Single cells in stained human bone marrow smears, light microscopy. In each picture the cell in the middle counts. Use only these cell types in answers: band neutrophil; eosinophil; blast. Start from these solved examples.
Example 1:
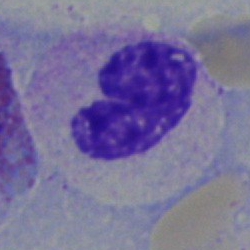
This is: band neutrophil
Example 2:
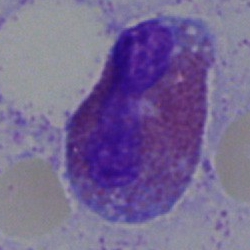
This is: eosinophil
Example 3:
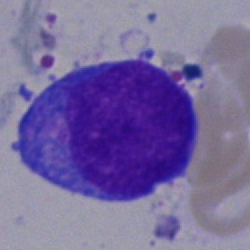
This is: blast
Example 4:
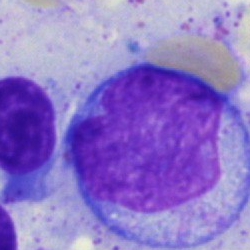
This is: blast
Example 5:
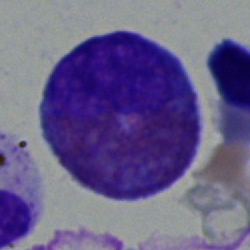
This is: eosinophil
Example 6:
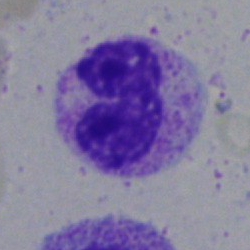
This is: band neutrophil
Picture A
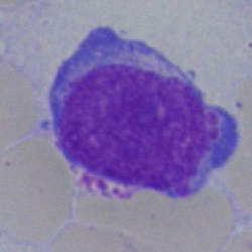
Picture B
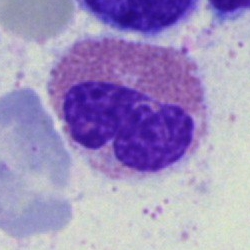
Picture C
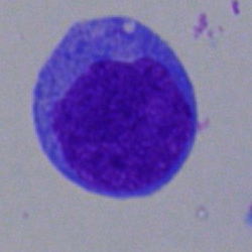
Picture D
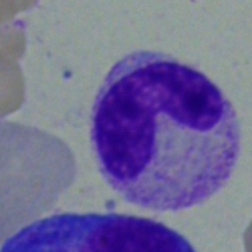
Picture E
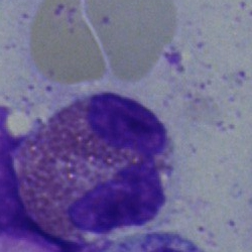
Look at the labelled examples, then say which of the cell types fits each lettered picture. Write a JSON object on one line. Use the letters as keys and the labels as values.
{"A": "blast", "B": "eosinophil", "C": "blast", "D": "band neutrophil", "E": "eosinophil"}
